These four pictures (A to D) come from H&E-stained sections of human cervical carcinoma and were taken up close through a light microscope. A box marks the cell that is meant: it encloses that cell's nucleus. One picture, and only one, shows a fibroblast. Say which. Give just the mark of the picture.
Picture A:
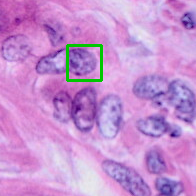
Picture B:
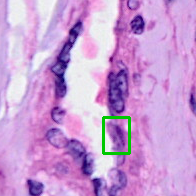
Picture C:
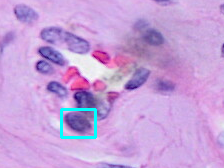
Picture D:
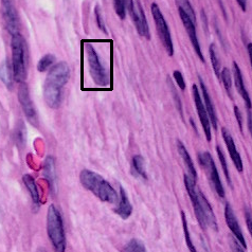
D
